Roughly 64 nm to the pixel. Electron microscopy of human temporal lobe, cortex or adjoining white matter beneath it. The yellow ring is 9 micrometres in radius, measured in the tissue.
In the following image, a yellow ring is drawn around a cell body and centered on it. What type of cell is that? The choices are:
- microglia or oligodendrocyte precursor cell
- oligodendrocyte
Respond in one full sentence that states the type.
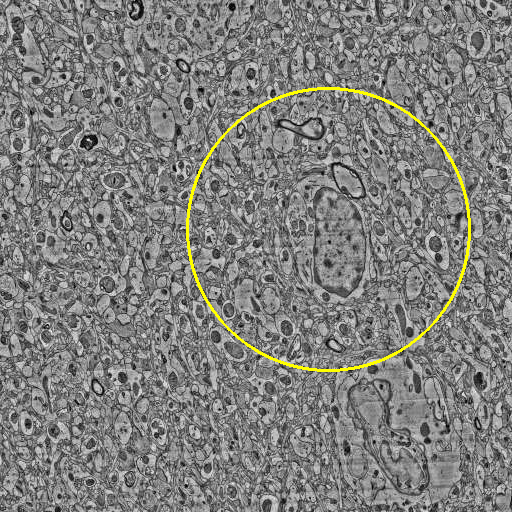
The cell at the center of the yellow ring in the image is a microglial cell or oligodendrocyte precursor cell.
